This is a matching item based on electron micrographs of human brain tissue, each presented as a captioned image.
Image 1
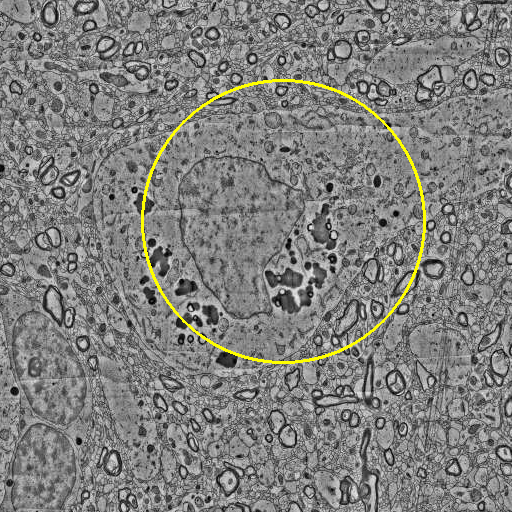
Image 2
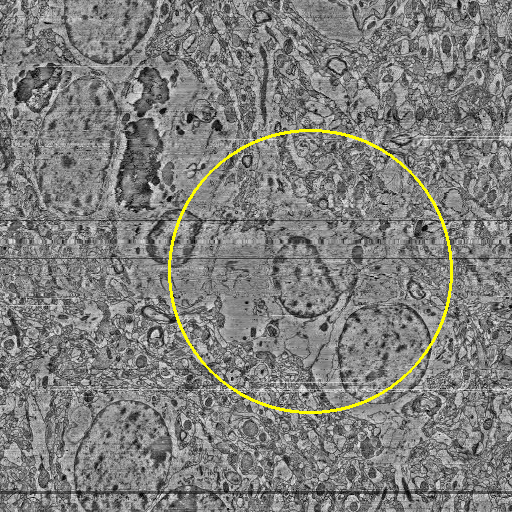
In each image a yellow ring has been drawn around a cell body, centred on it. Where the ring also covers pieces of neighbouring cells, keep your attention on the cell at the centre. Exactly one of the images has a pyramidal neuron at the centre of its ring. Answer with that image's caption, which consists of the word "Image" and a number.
Image 1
